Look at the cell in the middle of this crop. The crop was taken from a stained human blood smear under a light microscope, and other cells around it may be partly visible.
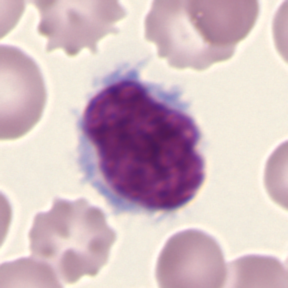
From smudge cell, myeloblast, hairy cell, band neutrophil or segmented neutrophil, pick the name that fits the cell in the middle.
hairy cell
